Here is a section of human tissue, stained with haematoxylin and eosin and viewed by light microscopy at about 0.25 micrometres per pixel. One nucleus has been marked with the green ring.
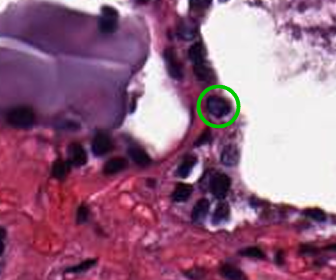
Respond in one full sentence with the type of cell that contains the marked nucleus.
The marked nucleus is one that belongs to a thyroid follicular cell.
